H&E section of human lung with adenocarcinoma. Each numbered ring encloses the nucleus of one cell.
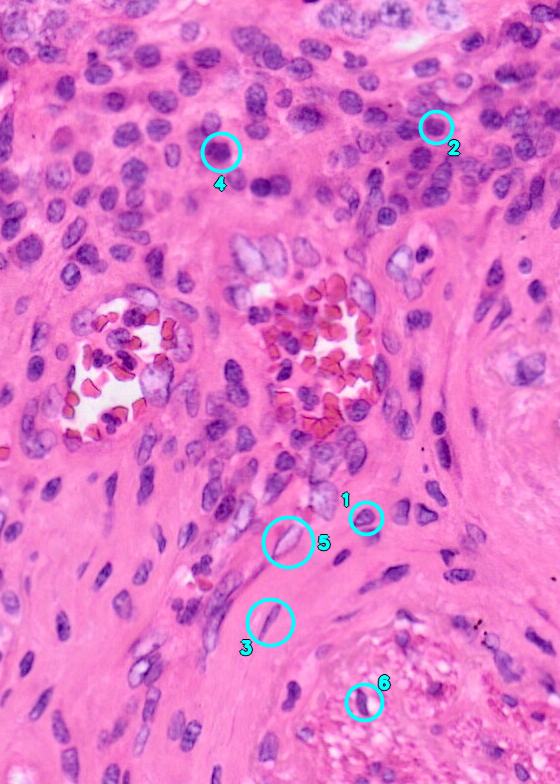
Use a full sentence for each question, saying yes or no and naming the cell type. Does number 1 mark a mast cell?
Yes, correct, the cell with the number 1 is a mast cell.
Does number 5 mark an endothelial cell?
Yes, kindly take note: the cell numbered 5 is an endothelial cell.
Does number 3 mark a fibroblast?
Yes, the cell marked with number 3 is a fibroblast.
